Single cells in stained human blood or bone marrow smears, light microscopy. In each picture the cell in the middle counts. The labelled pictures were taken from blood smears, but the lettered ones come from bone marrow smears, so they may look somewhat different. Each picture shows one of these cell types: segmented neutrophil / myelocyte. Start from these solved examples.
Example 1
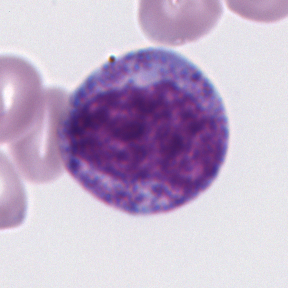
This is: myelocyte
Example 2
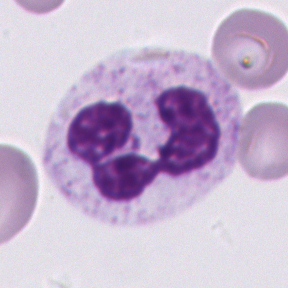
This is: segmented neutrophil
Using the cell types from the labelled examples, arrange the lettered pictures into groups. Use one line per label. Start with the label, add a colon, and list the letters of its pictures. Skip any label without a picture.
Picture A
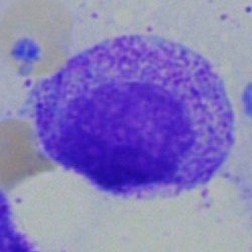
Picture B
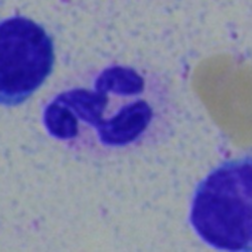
segmented neutrophil: B
myelocyte: A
